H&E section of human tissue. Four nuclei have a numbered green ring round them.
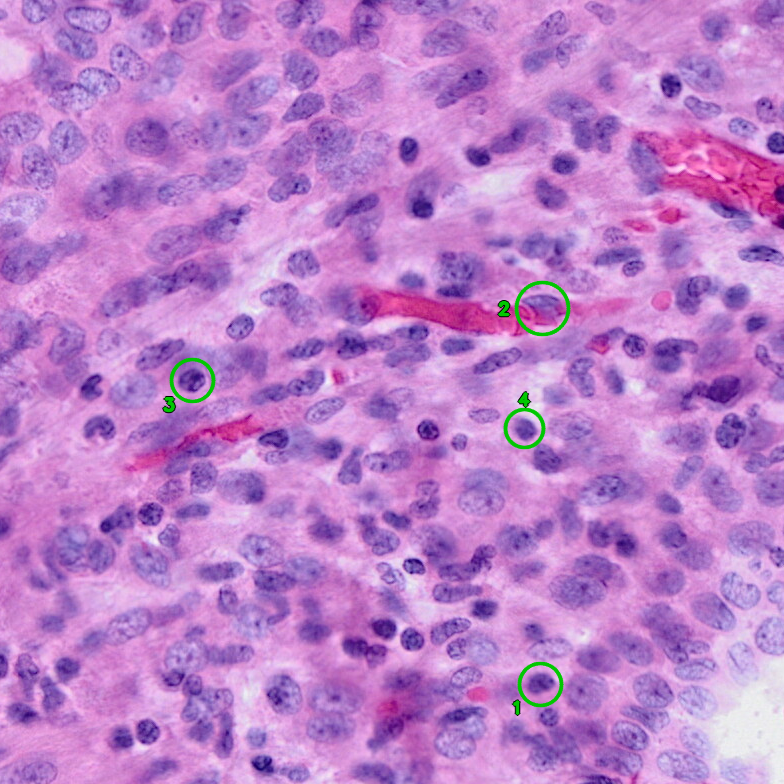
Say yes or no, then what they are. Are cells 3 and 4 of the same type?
Yes, both are lymphocytes.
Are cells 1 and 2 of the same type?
No, cell 1 is a lymphocyte and cell 2 is an endothelial cell.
